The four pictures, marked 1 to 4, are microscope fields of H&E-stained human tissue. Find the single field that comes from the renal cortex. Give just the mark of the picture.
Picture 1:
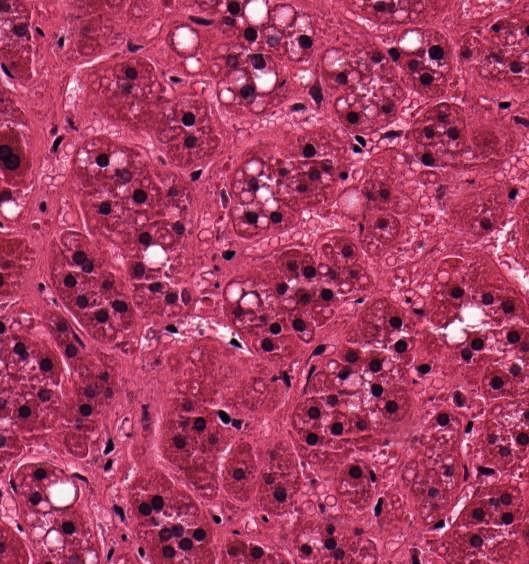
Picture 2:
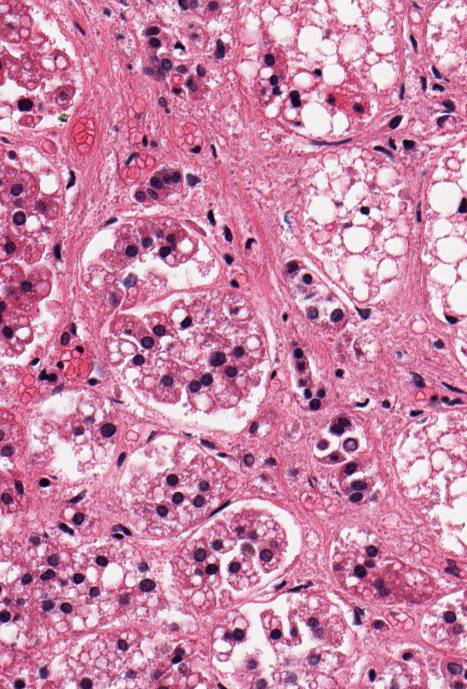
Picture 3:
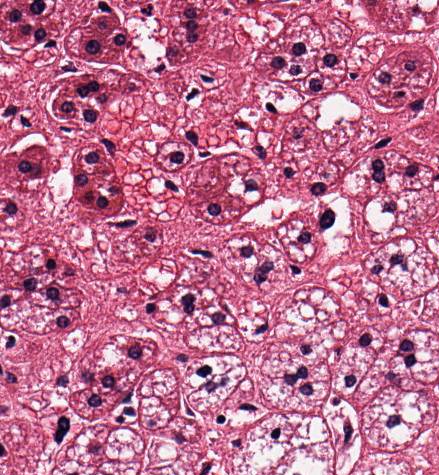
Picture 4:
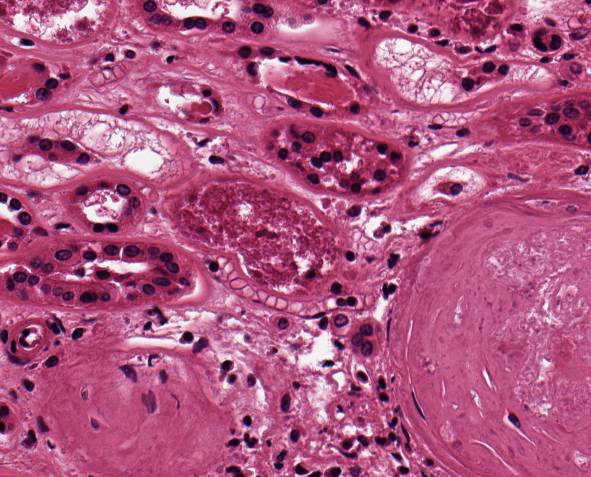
4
